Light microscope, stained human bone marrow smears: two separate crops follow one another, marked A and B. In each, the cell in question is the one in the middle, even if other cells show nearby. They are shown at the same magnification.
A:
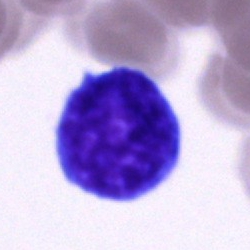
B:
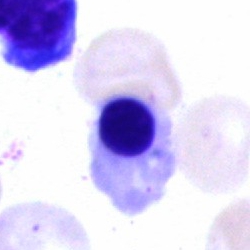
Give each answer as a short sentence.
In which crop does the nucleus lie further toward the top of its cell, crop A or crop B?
Seen within its cell, the nucleus in crop B lies further toward the top.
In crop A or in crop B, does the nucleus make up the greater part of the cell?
In crop A the nucleus takes up the larger part of its cell.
